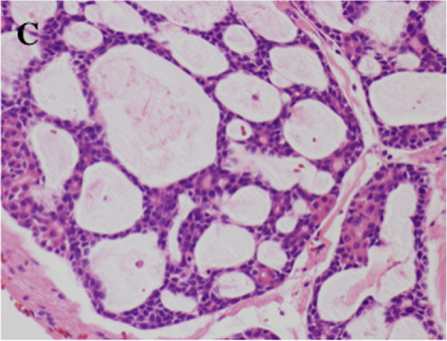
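Carcinoma cells form large nests in a cribriform pattern, perforated by many round and oval punched-out spaces of varying size. The spaces contain pale pink to faintly bluish material, and the small cells lining them have dark, uniform, oval nuclei and scant cytoplasm. Thin strands of pink fibrous stroma separate the nests.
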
